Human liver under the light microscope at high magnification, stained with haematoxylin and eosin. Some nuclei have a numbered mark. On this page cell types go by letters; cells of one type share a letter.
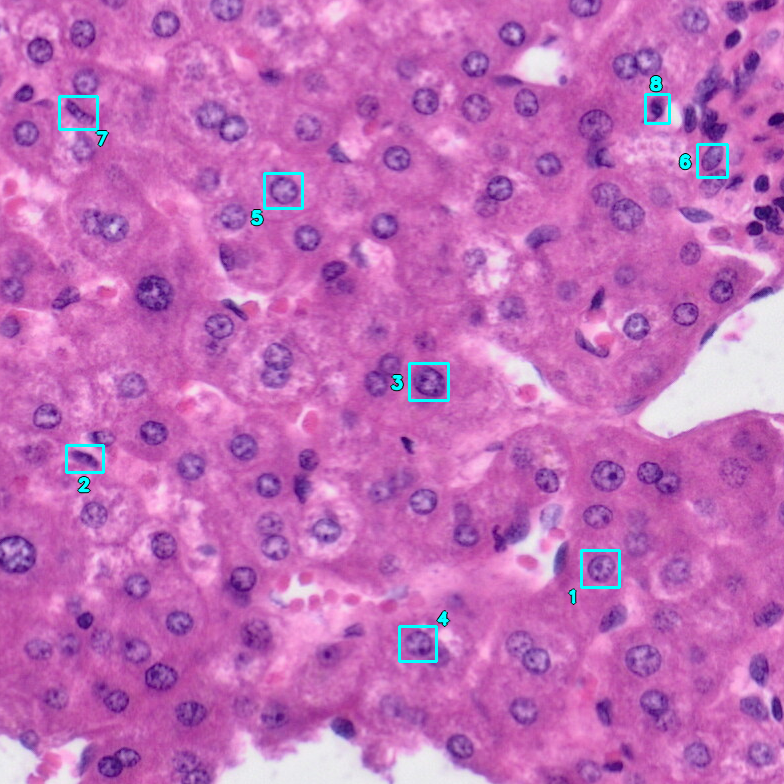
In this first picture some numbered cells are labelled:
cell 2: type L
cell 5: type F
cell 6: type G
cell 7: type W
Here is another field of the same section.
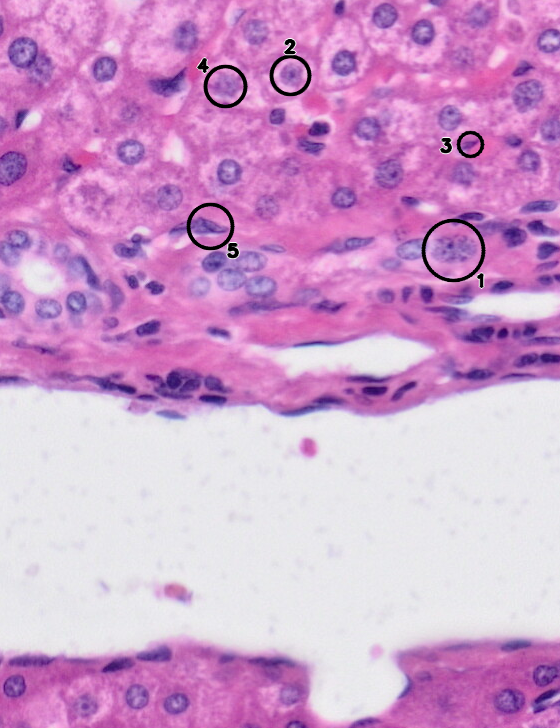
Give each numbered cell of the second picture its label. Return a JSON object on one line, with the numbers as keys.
{"1": "type G", "2": "type F", "3": "type L", "4": "type F", "5": "type W"}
